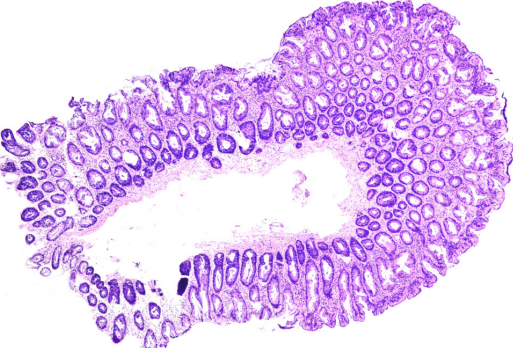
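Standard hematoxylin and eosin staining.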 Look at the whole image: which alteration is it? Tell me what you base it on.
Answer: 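Colonic mucosa with many closely packed crypts cut in cross and longitudinal section. Some crypts have a saw-toothed, serrated luminal outline. That points to this answer: hyperplastic polyp.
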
